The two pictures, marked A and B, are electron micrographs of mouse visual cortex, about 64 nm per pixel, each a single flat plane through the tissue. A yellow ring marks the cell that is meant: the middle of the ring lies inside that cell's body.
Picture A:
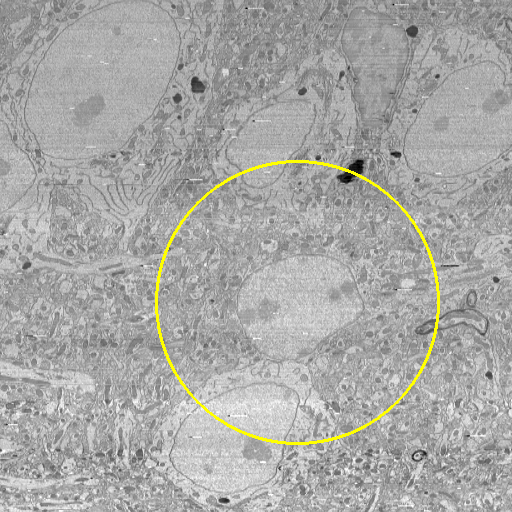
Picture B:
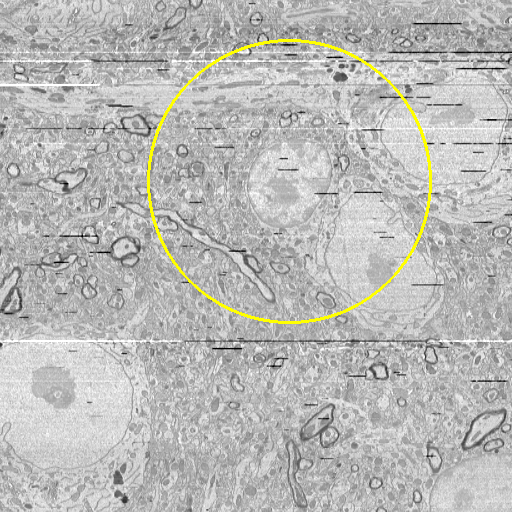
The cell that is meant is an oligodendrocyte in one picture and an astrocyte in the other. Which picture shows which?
Picture B shows an oligodendrocyte, while picture A shows an astrocyte.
